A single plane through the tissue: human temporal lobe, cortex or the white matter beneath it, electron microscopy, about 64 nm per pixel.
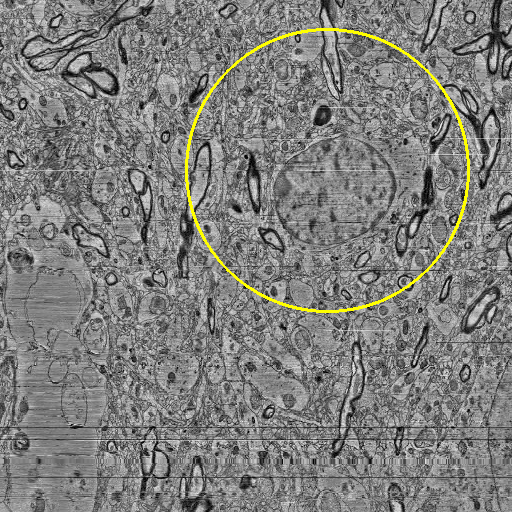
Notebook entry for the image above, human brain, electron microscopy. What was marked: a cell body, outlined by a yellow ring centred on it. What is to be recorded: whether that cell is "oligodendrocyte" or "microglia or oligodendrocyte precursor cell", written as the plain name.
microglia or oligodendrocyte precursor cell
